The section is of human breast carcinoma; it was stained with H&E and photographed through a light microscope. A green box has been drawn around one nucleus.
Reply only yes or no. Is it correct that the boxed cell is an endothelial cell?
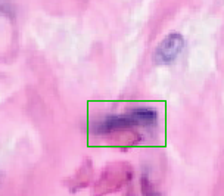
yes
